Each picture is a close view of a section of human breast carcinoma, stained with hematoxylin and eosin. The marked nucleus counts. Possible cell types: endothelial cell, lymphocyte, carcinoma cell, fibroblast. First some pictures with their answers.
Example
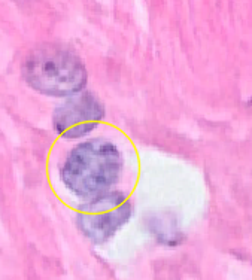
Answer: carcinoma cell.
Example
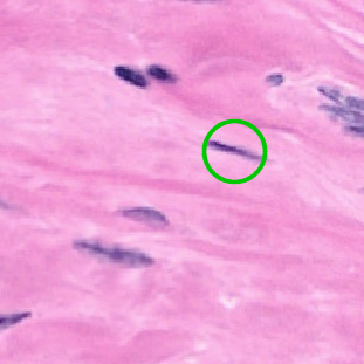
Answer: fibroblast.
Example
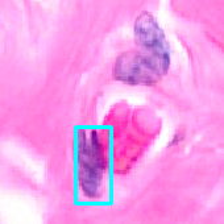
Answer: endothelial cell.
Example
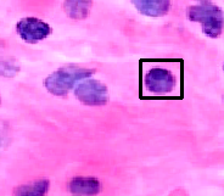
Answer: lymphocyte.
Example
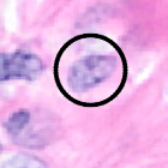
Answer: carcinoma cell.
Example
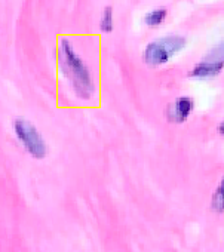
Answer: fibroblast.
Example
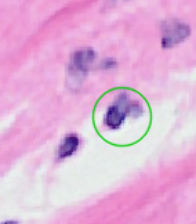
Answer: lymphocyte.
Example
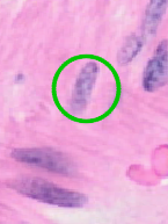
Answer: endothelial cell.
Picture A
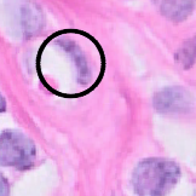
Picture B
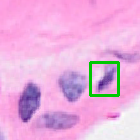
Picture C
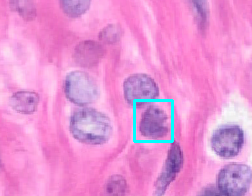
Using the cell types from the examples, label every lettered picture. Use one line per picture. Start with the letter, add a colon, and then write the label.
A: endothelial cell.
B: endothelial cell.
C: carcinoma cell.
